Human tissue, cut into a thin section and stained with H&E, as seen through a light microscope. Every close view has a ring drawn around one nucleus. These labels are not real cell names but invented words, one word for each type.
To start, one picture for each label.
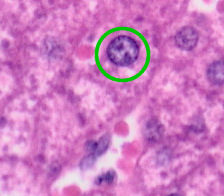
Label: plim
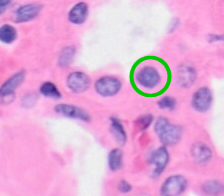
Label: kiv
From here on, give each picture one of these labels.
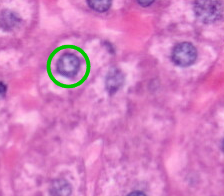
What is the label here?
plim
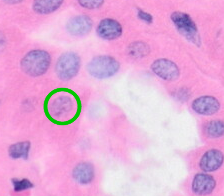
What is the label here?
kiv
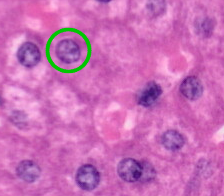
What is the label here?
plim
